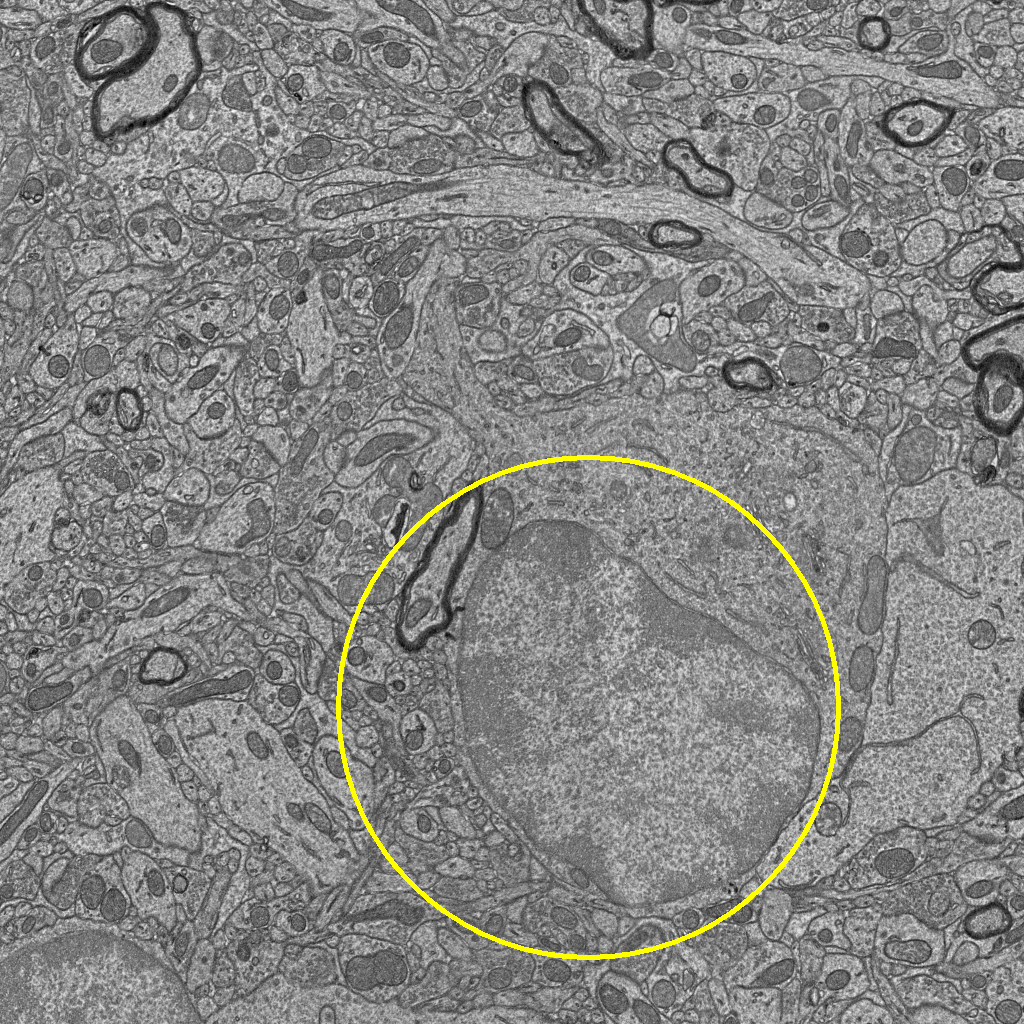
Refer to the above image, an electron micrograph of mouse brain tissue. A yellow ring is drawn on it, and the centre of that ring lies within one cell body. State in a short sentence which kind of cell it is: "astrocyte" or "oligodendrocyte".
The centre of the ring falls on an oligodendrocyte.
